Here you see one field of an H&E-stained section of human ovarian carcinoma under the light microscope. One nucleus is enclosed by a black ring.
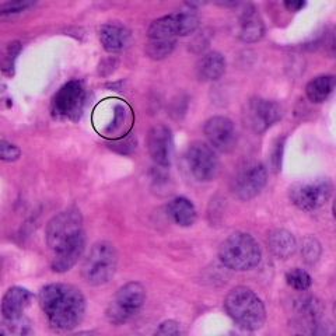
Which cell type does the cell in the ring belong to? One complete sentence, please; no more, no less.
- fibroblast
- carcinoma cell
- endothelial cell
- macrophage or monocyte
As a matter of cell type, the cell in the ring is a macrophage or monocyte.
